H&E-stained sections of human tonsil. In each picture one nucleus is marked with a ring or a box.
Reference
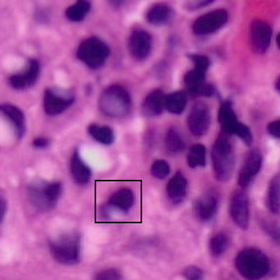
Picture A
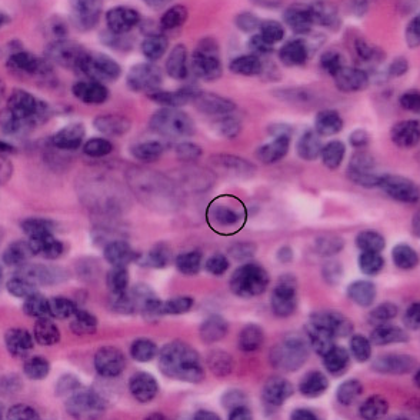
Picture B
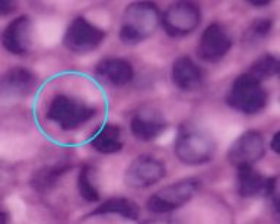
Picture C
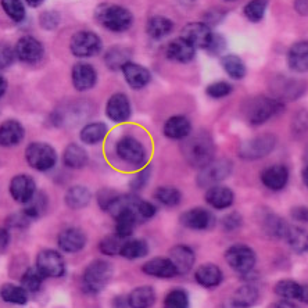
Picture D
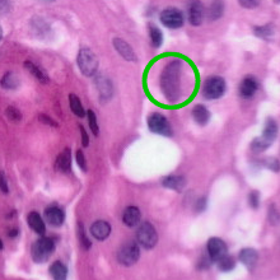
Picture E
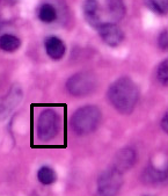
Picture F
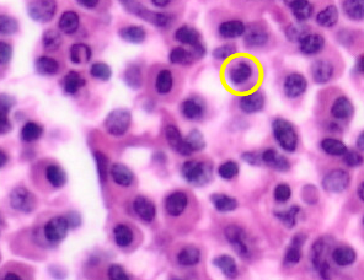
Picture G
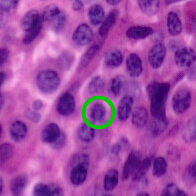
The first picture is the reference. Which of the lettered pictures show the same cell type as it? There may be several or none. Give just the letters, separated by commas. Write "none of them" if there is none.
B, D, E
